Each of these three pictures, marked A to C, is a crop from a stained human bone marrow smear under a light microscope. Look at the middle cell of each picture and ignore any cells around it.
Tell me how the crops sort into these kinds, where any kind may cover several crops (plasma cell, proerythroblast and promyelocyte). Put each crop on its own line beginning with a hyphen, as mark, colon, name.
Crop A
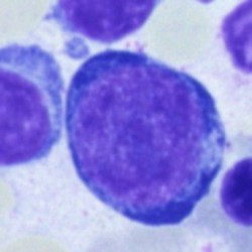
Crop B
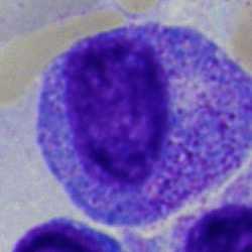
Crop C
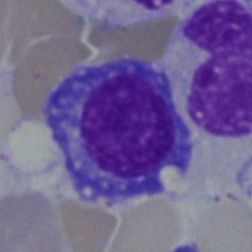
- A: proerythroblast
- B: promyelocyte
- C: plasma cell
